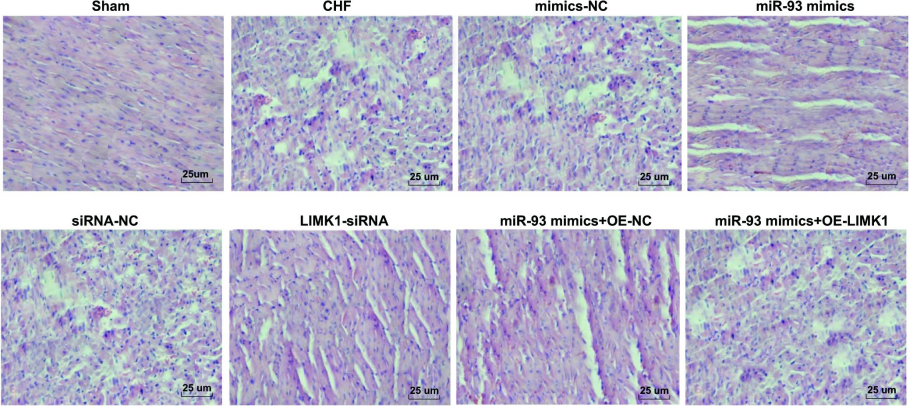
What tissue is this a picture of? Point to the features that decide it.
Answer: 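Long pink fibres run in parallel bundles. On this evidence: myocardial tissues.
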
